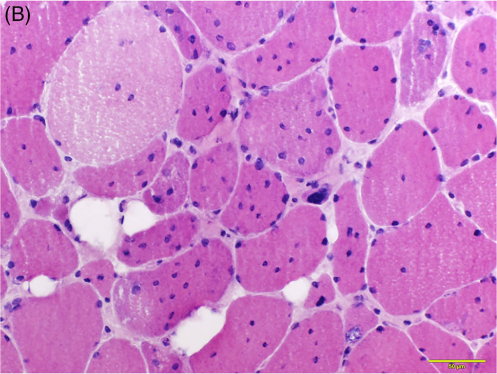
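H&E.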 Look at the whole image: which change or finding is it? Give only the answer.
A: Multiple internalized nuclei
